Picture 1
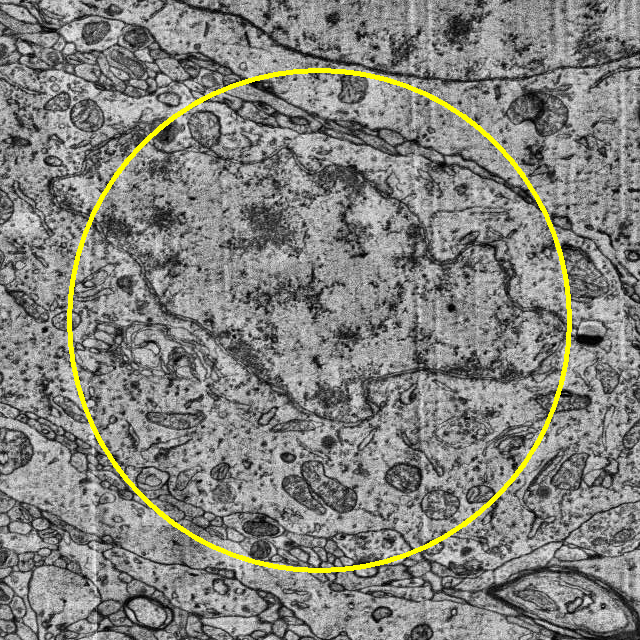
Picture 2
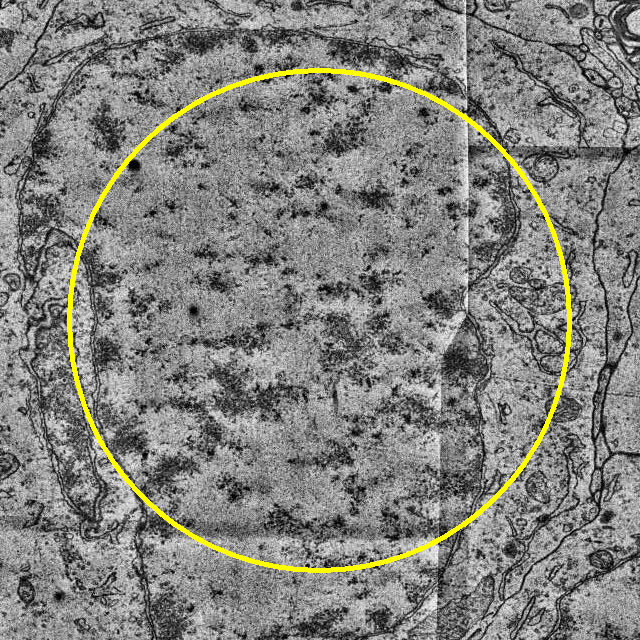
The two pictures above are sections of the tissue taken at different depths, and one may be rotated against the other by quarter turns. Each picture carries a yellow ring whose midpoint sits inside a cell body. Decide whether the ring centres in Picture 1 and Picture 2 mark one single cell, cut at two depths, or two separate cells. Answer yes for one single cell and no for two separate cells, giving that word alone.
no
